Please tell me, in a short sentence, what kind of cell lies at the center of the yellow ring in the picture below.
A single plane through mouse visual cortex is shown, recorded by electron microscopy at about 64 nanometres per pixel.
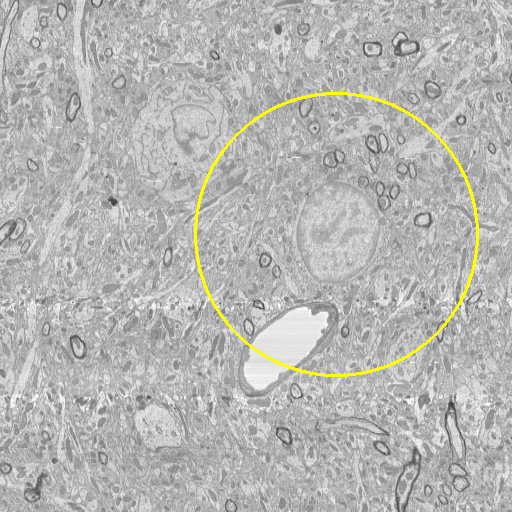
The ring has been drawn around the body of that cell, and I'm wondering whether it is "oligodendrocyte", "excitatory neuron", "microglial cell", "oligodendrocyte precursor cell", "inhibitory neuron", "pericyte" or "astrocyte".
The cell at the center of the ring is an oligodendrocyte.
